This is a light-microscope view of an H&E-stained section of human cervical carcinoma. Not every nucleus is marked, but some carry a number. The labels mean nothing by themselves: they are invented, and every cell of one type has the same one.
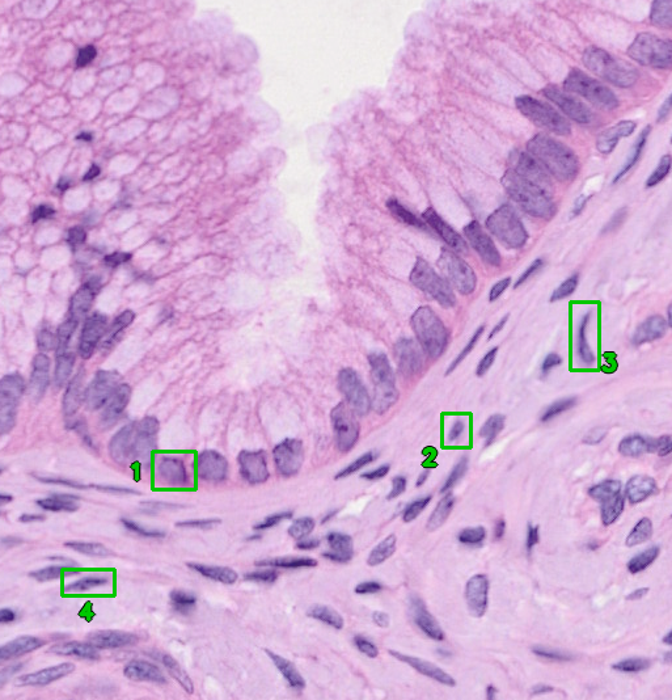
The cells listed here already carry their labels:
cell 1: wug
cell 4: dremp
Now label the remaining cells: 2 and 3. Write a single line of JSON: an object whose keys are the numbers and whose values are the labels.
{"2": "dremp", "3": "dremp"}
